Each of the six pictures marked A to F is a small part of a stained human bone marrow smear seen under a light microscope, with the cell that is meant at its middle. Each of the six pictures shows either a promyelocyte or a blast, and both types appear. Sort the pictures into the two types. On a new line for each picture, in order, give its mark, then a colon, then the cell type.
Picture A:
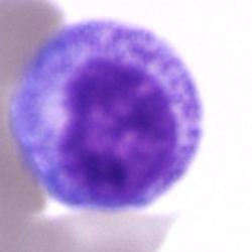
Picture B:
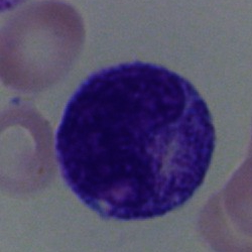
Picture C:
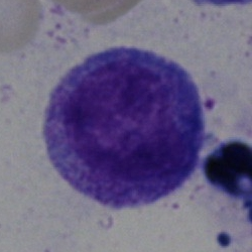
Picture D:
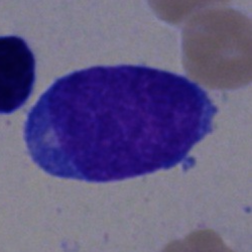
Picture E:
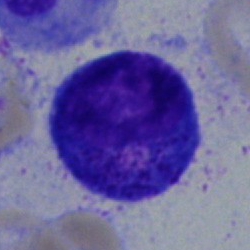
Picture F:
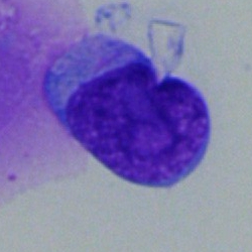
A: promyelocyte
B: promyelocyte
C: promyelocyte
D: blast
E: promyelocyte
F: blast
